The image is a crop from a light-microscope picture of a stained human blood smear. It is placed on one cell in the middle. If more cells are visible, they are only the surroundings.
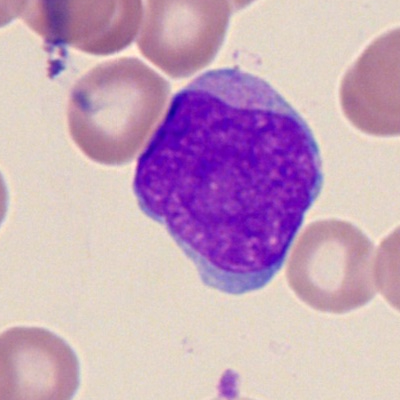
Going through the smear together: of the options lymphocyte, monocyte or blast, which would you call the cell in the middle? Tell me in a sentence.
In this crop, the cell at the very middle is a blast.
